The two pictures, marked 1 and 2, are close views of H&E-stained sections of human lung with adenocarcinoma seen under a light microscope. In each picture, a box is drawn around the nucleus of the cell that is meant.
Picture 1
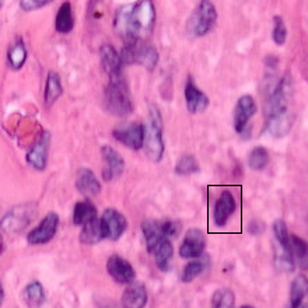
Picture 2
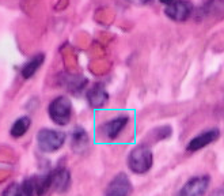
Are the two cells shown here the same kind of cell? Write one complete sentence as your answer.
No, the types are not the same, since picture 1 shows a plasma cell and picture 2 a lymphocyte.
